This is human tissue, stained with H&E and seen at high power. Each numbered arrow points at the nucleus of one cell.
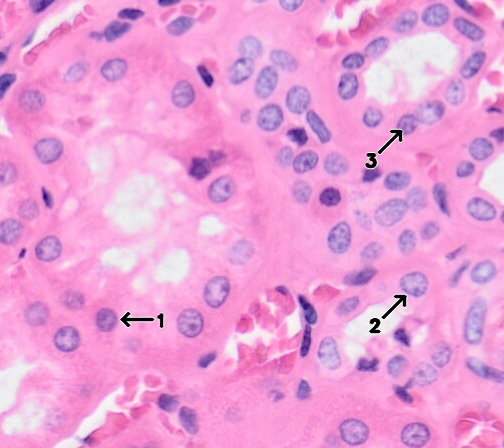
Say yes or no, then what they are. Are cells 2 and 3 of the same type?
Yes, each of the two cells, 2 and 3, is among the collecting duct cells.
